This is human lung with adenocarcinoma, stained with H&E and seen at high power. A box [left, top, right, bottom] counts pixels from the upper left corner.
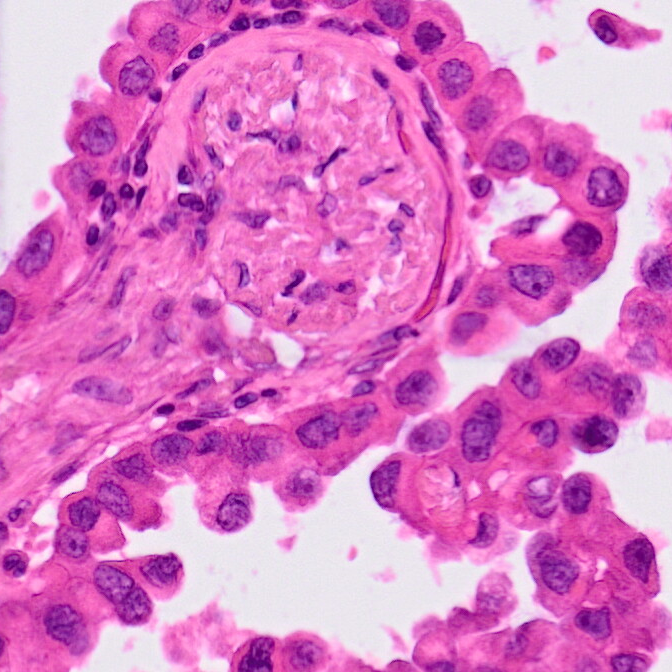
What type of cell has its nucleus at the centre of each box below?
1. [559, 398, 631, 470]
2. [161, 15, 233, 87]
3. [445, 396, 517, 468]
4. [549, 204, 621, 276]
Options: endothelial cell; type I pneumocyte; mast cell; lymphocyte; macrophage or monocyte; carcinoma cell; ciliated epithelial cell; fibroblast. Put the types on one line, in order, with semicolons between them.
carcinoma cell; lymphocyte; carcinoma cell; carcinoma cell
